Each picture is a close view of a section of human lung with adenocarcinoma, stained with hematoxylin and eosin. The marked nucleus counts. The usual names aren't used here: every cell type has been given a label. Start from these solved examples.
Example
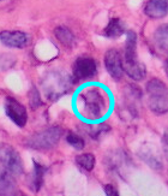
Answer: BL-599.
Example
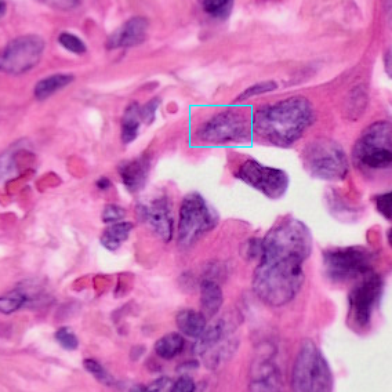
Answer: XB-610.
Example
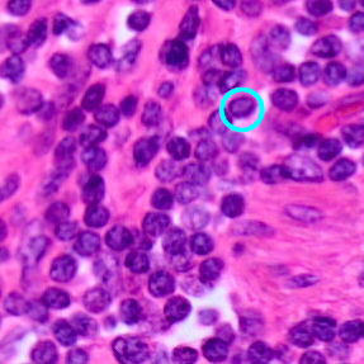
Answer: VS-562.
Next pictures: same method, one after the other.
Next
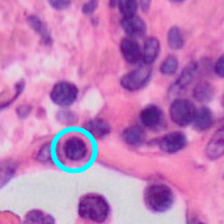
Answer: VS-562.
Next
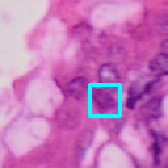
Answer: BL-599.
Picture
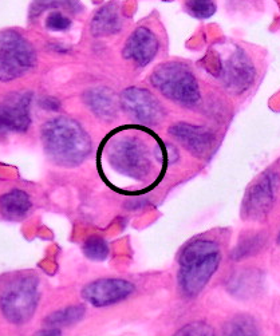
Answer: XB-610.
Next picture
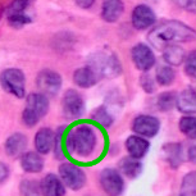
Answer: VS-562.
